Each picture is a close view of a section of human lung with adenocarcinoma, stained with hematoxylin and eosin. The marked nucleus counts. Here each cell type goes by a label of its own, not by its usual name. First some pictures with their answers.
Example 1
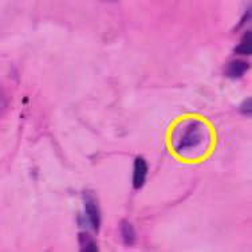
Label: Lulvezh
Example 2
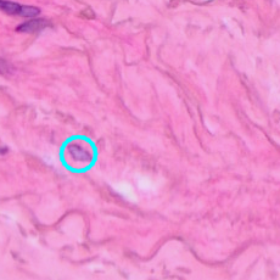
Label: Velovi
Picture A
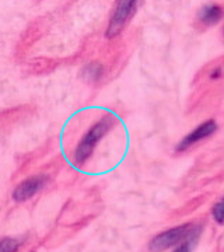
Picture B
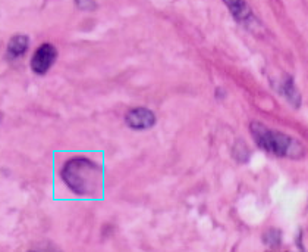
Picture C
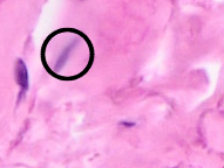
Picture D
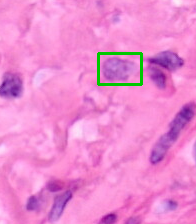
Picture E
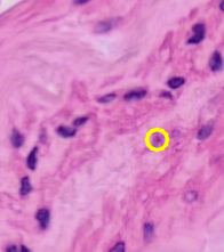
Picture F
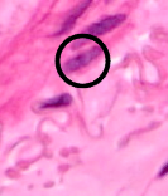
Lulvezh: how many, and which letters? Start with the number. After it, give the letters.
Count: 3 (B, C, D)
